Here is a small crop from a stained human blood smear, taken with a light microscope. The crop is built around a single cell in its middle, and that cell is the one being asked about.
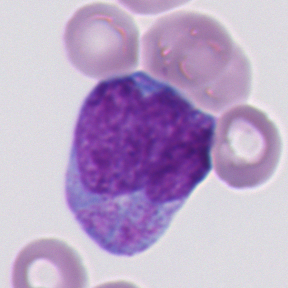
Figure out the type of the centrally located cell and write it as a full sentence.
What the crop centres on is an atypical promyelocyte.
